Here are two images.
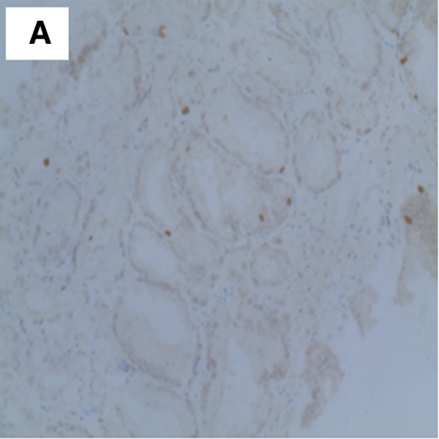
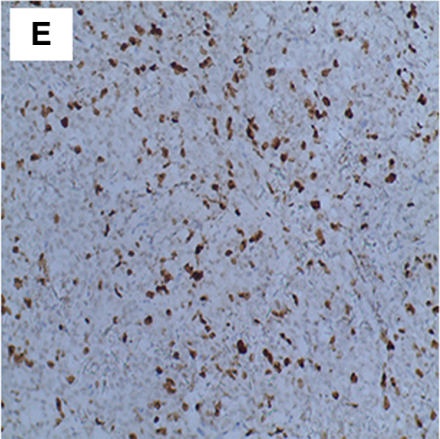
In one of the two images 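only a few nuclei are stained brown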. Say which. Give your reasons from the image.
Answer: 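The first image. Second image: brown nuclei are numerous and scattered across the whole field. First image: only a handful of isolated brown dots appear among mostly unstained glands.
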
